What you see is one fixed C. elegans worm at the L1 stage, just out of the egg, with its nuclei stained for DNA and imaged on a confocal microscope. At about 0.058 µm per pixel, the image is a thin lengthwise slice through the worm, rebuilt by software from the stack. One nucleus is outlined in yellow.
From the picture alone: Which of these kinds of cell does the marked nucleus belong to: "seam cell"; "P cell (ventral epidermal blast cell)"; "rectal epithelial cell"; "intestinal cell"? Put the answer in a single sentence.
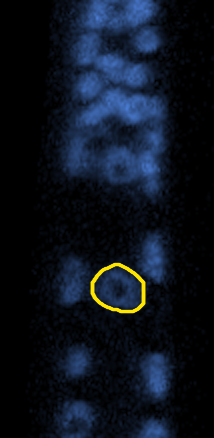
The marked cell is an intestinal cell.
